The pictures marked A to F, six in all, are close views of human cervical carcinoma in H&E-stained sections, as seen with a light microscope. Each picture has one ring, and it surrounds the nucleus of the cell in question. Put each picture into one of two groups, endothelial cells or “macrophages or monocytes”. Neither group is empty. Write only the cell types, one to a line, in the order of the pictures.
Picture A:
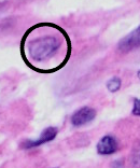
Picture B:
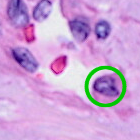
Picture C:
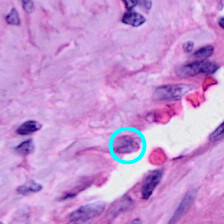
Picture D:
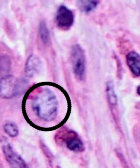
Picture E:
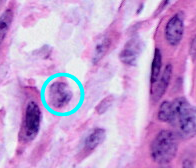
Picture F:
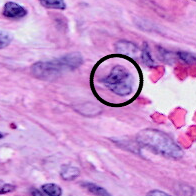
macrophage or monocyte
endothelial cell
endothelial cell
endothelial cell
macrophage or monocyte
endothelial cell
